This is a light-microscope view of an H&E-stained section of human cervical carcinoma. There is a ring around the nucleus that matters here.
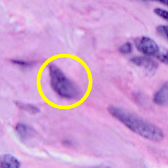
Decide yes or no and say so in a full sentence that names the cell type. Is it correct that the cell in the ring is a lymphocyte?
No, write a fibroblast for the cell in the ring rather than a lymphocyte.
